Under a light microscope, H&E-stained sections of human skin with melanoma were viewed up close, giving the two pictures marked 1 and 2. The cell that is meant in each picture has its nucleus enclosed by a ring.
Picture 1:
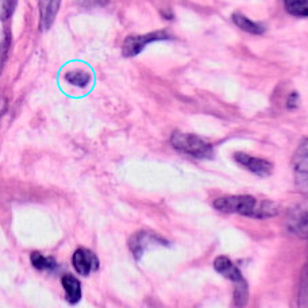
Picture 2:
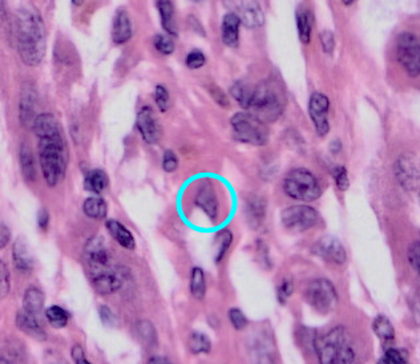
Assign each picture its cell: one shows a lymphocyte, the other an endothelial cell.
1: lymphocyte
2: endothelial cell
